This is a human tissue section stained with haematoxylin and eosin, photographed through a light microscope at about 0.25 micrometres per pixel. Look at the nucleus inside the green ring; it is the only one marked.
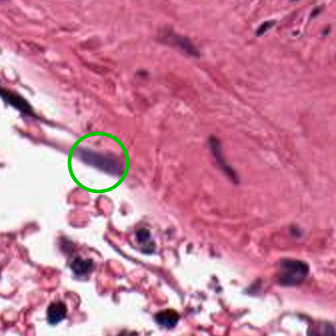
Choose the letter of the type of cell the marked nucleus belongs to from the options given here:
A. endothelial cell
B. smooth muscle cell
A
